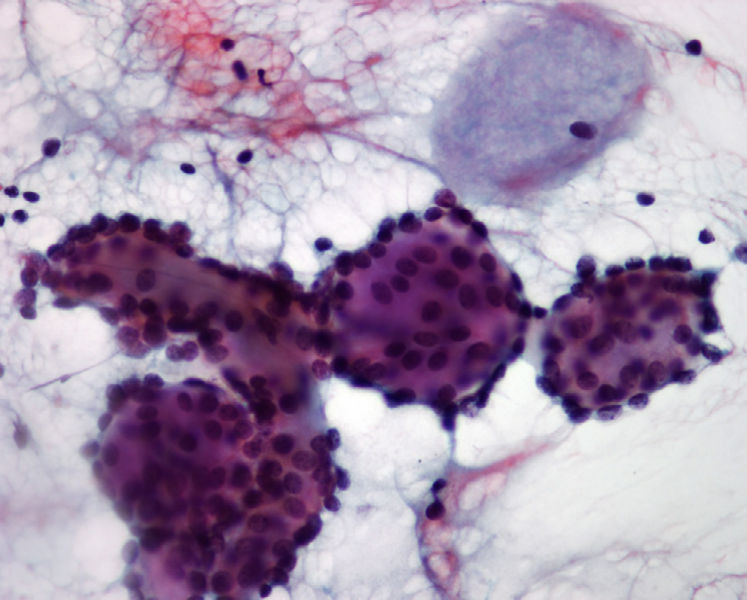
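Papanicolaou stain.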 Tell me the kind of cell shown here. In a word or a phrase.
Tumor cell clusters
